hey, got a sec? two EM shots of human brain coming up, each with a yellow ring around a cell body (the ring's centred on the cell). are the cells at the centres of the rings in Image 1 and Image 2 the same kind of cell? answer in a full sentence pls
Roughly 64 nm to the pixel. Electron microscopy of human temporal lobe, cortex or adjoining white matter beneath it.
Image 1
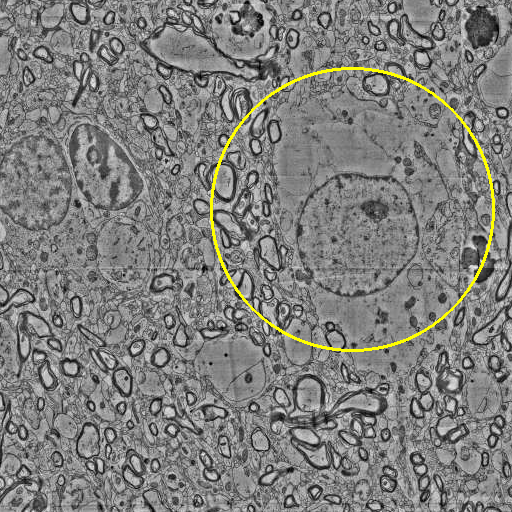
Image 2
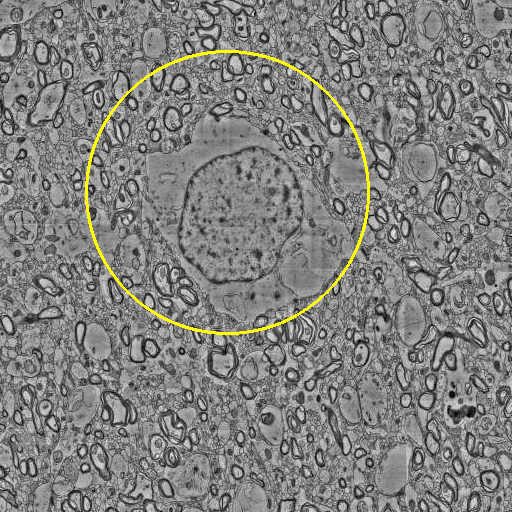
Yes, both are the same kind of cell.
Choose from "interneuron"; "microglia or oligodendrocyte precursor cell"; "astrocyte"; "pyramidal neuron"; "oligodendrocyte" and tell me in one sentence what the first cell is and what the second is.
Both the first and the second picture show an astrocyte in the ring.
